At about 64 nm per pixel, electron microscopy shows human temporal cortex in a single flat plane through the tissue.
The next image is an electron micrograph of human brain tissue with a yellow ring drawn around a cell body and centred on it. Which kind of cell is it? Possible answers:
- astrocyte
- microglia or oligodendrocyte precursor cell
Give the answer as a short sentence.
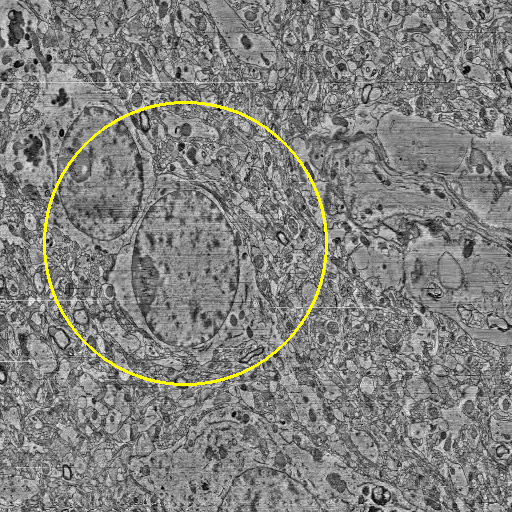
In the ring's centre is an astrocyte.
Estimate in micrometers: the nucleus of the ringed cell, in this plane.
Roughly 11 by 7 micrometers, clearly longer than it is wide in this plane.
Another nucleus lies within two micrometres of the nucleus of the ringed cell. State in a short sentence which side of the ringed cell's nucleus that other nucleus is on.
That other nucleus lies to the upper left of it.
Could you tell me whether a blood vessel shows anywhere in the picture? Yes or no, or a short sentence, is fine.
Yes.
